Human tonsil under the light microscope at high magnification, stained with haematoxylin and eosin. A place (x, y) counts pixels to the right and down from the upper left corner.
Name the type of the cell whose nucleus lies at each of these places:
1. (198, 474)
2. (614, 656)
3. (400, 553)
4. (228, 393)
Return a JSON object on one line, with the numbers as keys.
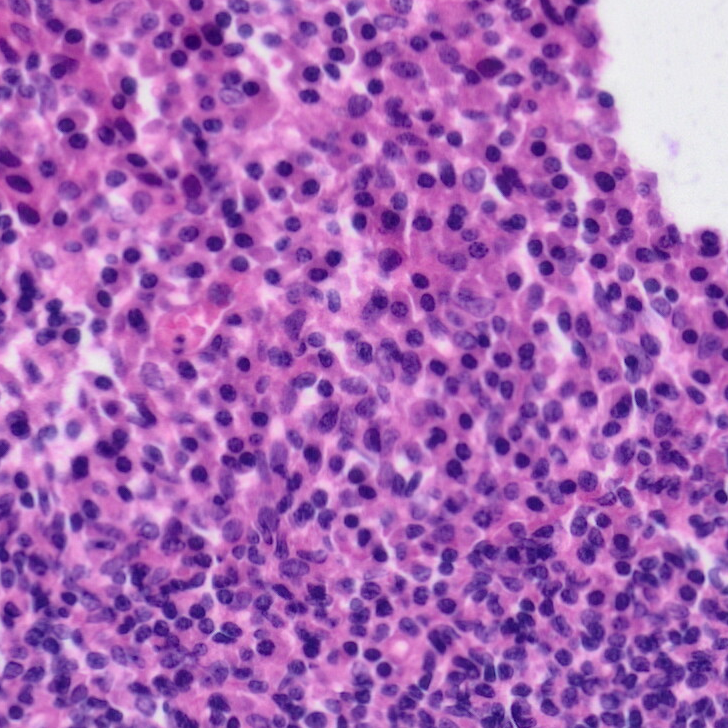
{"1": "plasma cell", "2": "small lymphocyte", "3": "plasma cell", "4": "plasma cell"}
